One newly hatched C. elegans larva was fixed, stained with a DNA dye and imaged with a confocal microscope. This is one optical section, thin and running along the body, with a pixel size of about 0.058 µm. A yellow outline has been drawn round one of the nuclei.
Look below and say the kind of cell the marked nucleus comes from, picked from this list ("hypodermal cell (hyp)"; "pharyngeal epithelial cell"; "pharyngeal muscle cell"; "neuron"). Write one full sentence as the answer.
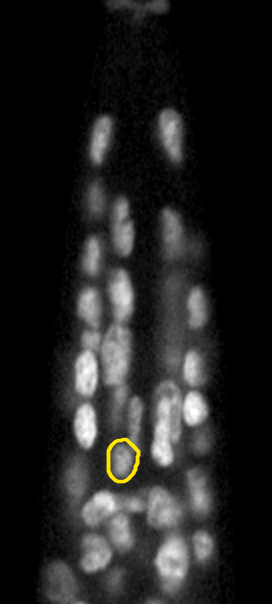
The marked nucleus belongs to a neuron.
